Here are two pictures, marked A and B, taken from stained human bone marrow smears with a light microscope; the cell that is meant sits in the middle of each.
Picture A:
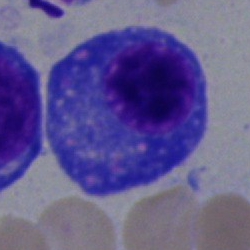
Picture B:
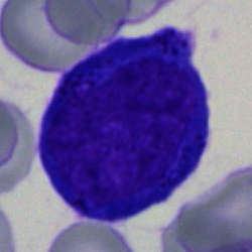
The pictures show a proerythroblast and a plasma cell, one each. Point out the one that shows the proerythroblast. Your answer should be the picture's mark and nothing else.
B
